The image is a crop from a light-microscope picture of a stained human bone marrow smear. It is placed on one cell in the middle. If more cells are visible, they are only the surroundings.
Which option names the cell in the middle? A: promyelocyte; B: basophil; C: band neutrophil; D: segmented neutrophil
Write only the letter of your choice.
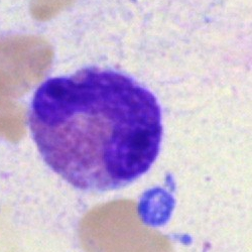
B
